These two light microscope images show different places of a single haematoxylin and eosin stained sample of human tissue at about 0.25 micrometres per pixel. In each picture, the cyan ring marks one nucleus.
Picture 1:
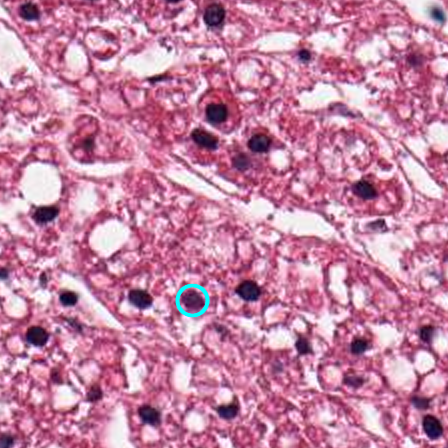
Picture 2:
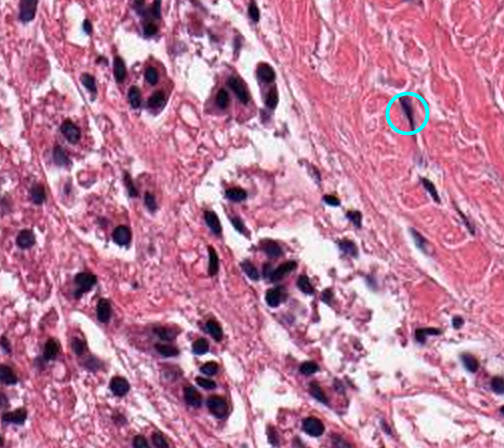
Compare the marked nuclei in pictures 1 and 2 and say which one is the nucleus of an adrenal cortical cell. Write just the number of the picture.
1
